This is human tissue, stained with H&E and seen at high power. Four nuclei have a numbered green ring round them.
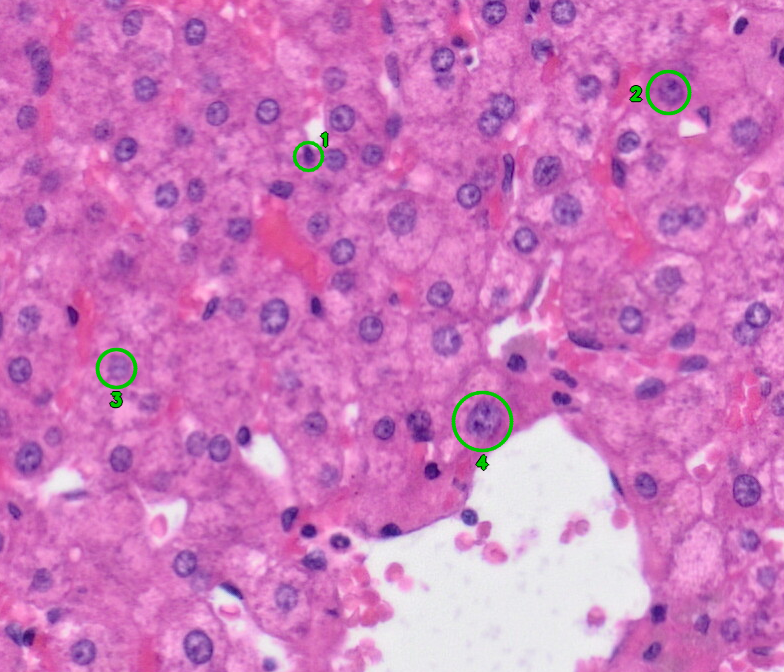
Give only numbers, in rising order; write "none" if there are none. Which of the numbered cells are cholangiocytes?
none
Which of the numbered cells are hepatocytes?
2, 3, 4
